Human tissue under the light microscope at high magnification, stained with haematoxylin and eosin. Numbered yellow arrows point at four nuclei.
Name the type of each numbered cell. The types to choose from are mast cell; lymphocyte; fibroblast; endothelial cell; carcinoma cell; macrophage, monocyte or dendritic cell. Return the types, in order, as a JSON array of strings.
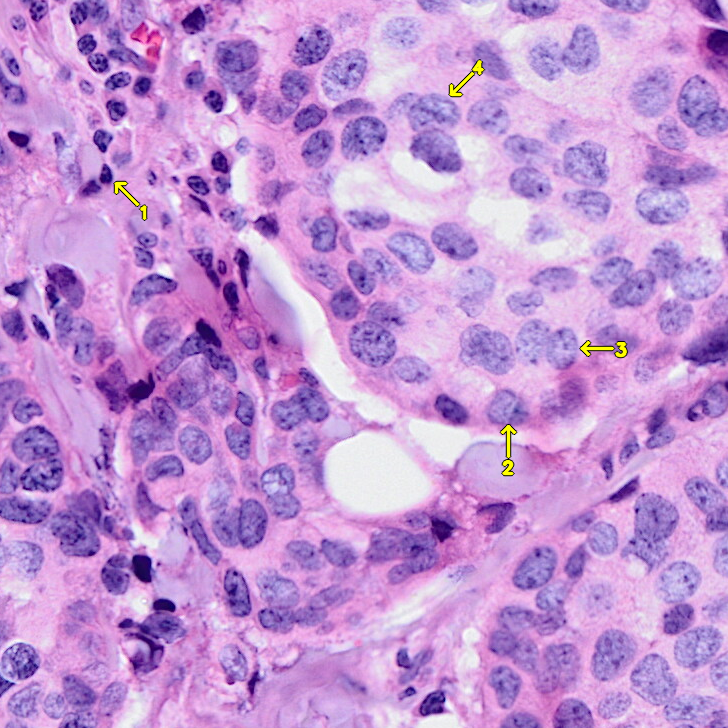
["lymphocyte", "carcinoma cell", "carcinoma cell", "carcinoma cell"]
